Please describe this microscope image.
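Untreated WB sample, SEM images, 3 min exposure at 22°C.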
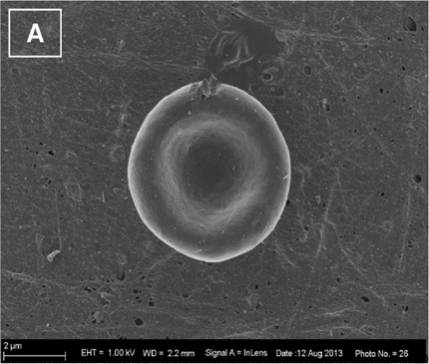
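A single erythrocyte lies on a flat substrate, seen as a round biconcave disc with a smooth surface. A thick raised rim encircles a shallow central depression. A few fine fibres and small particles lie on the surrounding substrate.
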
